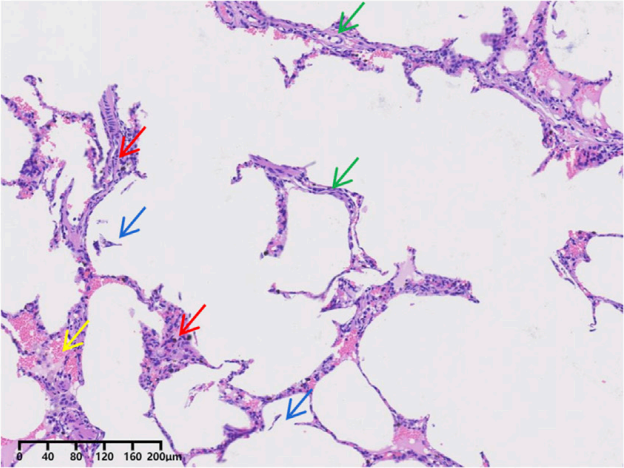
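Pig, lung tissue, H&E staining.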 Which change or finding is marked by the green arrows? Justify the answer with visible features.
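The arrows point to thickened septa with loose, pale spaces inside them.
Hence: pulmonary interstitial edema.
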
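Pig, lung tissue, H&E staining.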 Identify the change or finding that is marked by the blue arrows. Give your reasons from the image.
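Alveolar rupture. The arrows point to broken free ends of thin alveolar walls. The airspaces are very large and merged together.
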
